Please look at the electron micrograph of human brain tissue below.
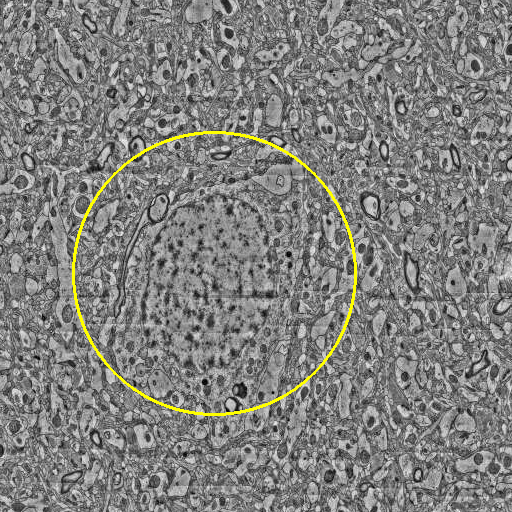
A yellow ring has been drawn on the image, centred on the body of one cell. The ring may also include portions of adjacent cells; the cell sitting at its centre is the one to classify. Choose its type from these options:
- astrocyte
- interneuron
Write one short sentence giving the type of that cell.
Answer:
The cell in the middle of the ring is an interneuron.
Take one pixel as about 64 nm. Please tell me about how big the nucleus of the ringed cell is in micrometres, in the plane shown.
Roughly 11 by 8 micrometres in this plane, for the nucleus of the ringed cell.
